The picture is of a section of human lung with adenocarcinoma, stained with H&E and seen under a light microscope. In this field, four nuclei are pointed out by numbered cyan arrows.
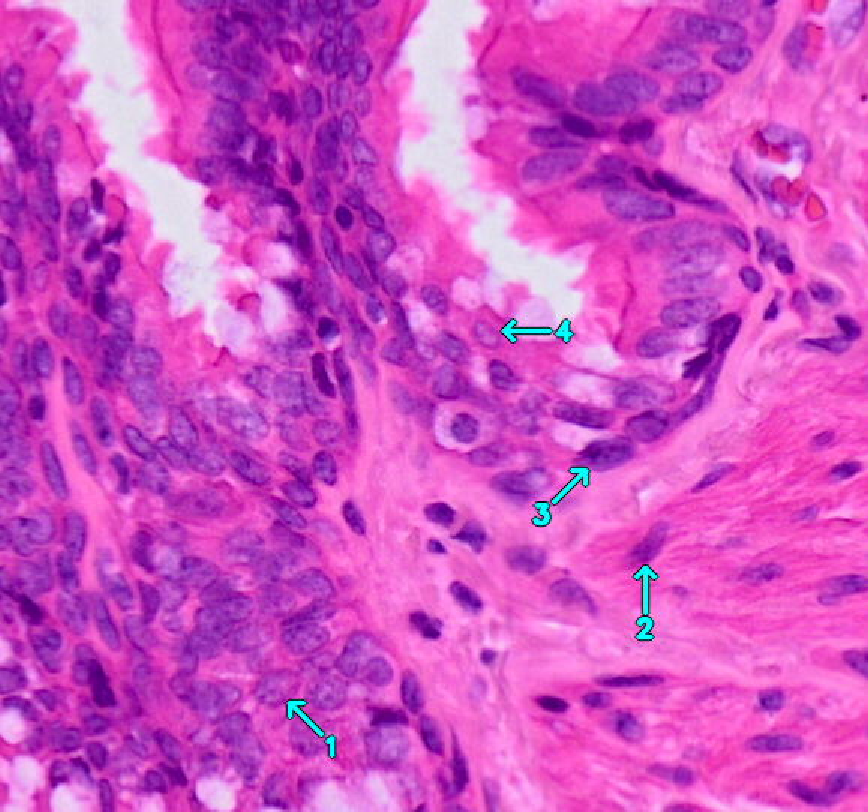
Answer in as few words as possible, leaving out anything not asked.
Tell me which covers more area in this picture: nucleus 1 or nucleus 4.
1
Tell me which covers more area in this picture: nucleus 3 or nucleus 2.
3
